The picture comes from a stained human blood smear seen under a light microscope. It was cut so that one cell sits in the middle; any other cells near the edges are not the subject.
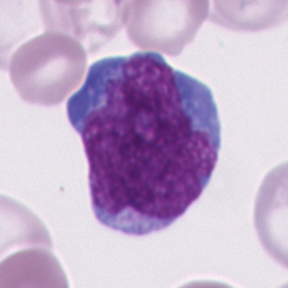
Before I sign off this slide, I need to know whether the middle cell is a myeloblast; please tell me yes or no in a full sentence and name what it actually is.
Yes, the central cell here is a myeloblast.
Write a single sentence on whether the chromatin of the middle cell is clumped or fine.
No coarse chromatin clumps are present; the pattern is fine.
